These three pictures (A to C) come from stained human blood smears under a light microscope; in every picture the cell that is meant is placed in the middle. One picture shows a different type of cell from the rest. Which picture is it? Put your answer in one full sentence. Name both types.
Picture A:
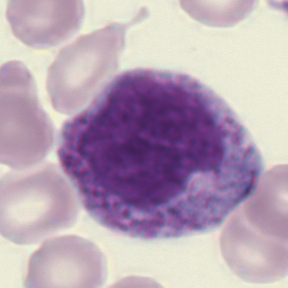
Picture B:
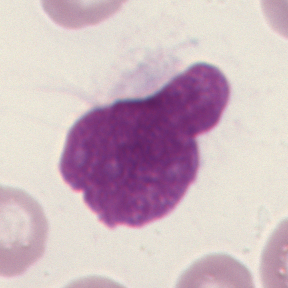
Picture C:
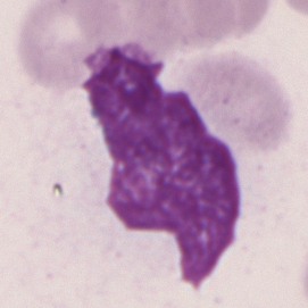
Unlike the rest, which show smudge cells, picture A shows a promyelocyte.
